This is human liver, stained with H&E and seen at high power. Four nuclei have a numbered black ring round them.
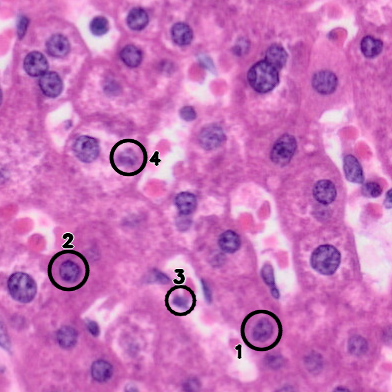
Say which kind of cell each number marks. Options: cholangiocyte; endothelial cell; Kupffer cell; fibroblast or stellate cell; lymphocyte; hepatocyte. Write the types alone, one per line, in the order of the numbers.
hepatocyte
hepatocyte
lymphocyte
hepatocyte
